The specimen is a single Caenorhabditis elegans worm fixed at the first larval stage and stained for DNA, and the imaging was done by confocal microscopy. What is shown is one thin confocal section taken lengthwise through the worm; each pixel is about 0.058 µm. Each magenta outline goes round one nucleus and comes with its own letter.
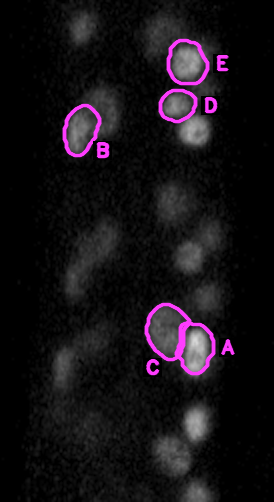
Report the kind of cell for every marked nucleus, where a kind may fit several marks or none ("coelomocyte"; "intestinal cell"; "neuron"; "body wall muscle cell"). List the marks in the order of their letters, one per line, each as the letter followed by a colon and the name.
A: body wall muscle cell
B: body wall muscle cell
C: intestinal cell
D: coelomocyte
E: body wall muscle cell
